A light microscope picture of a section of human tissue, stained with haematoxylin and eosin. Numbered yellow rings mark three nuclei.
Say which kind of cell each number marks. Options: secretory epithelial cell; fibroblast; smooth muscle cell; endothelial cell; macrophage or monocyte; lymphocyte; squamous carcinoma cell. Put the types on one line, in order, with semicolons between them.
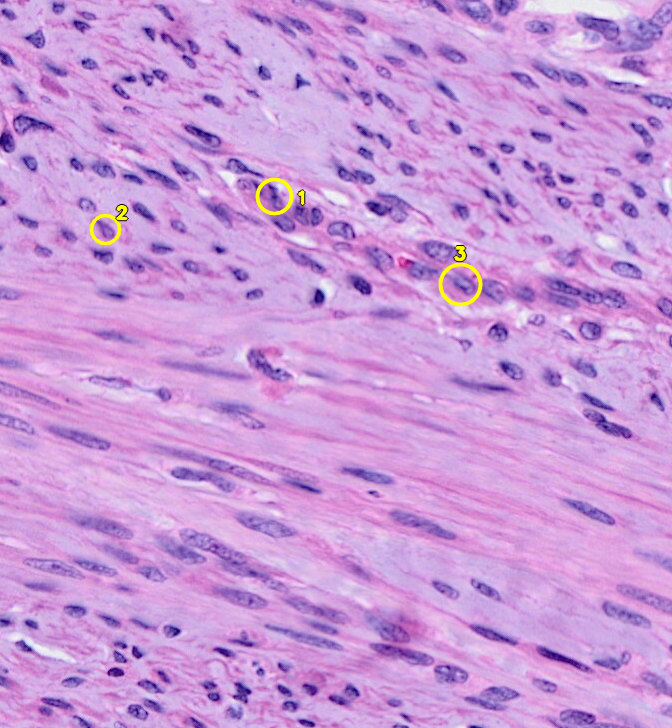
endothelial cell; smooth muscle cell; endothelial cell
